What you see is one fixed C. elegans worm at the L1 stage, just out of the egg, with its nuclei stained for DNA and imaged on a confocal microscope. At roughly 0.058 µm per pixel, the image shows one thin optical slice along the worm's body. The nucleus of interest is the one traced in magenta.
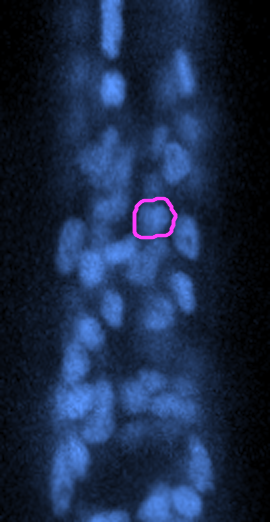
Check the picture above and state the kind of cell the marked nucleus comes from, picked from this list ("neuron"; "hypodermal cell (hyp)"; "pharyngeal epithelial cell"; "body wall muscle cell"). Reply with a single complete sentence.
The marked cell is a hypodermal cell (hyp).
